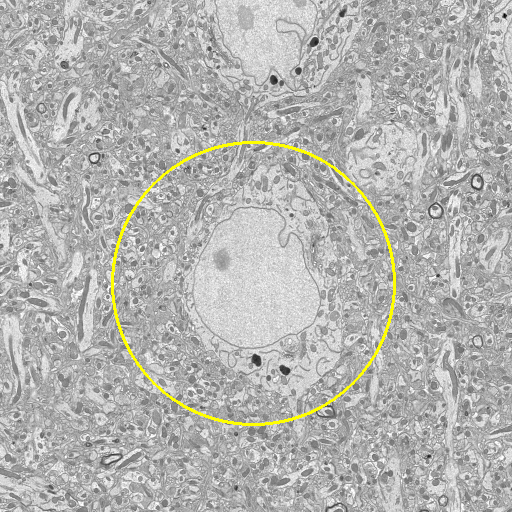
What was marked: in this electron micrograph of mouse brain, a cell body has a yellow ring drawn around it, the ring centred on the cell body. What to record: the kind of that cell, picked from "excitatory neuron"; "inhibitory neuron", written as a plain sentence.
The centred cell is an excitatory neuron.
